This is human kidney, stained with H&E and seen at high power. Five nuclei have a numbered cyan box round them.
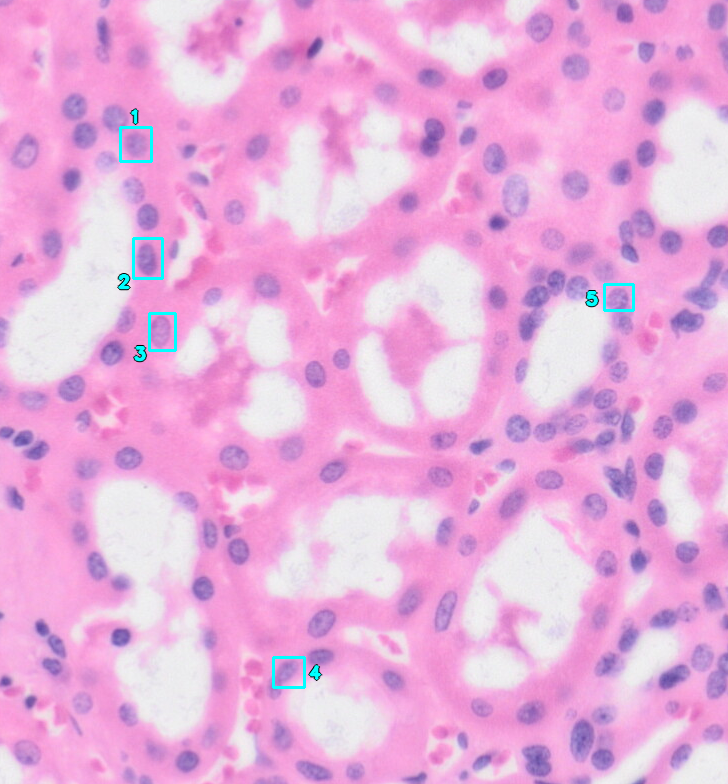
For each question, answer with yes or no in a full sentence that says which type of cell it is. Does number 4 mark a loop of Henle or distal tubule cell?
No, the cell at marker 4 is not a loop of Henle or distal tubule cell; it is a collecting duct cell.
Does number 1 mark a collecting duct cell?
No, the cell that carries number 1 is a loop of Henle or distal tubule cell, not a collecting duct cell.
